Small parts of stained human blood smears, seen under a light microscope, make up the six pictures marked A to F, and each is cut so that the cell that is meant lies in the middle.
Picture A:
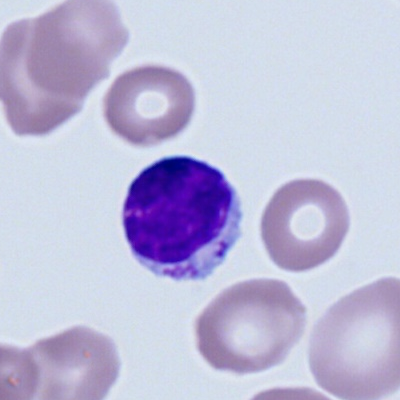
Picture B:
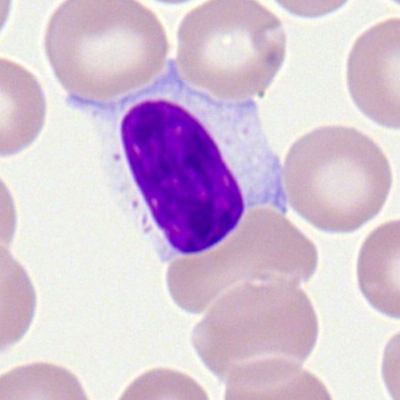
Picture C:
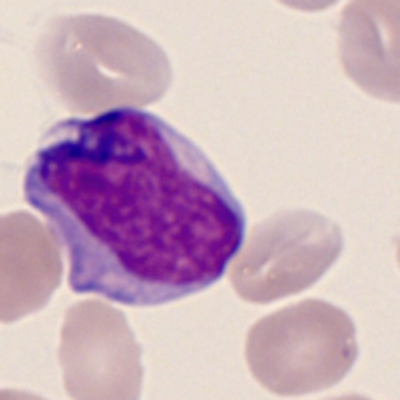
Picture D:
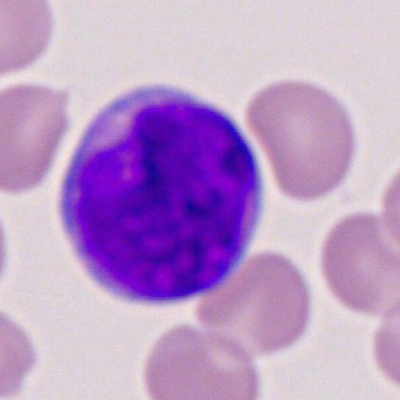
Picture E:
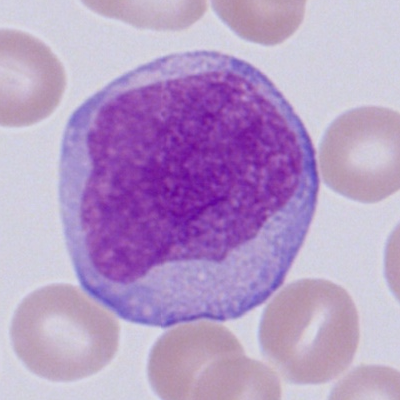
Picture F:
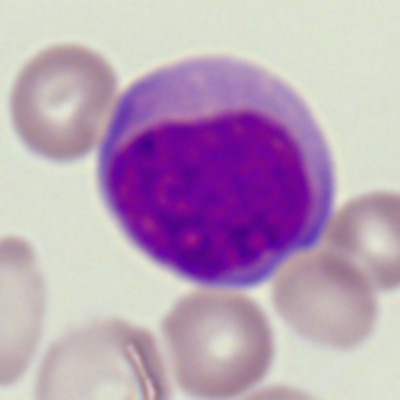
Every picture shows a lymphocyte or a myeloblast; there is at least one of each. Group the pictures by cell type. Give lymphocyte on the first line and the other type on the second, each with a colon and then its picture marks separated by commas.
lymphocyte: A, B
myeloblast: C, D, E, F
